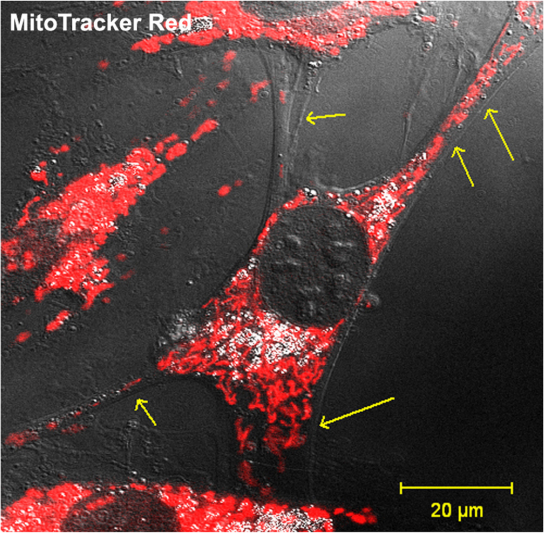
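The central cell is spread and many-cornered, with a large oval nucleus holding several rounded nucleoli. Around the nucleus the cytoplasm is crowded with red threads and granules, densest on one side, with bright refractile granules among them. Long, very thin tubes leave the cell body and run across open space to neighbouring cells; red dots are strung along some of them. Further red-filled cells lie at the edges of the field.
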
